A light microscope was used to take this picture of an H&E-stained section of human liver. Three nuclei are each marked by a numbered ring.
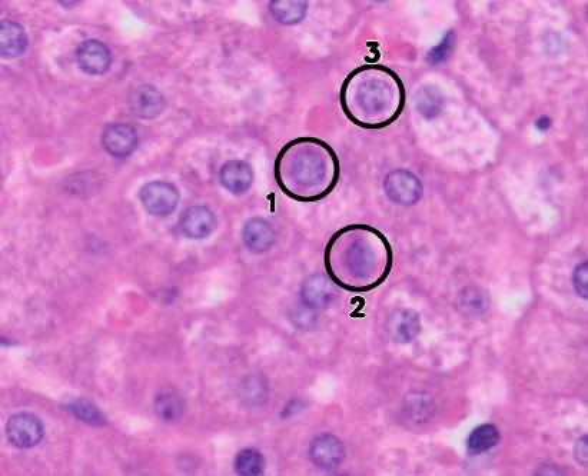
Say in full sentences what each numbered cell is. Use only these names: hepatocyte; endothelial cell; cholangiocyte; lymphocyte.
Cells 1 and 3 are hepatocytes. Cell 2 is an endothelial cell.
